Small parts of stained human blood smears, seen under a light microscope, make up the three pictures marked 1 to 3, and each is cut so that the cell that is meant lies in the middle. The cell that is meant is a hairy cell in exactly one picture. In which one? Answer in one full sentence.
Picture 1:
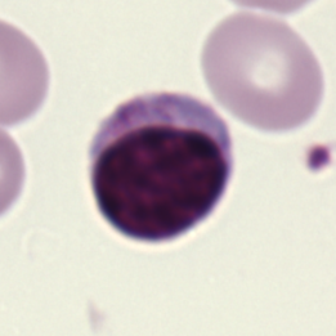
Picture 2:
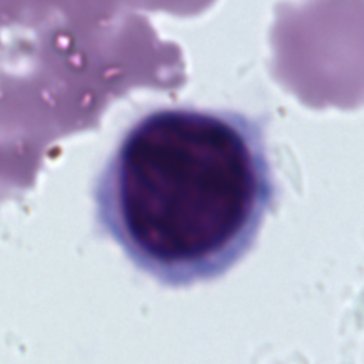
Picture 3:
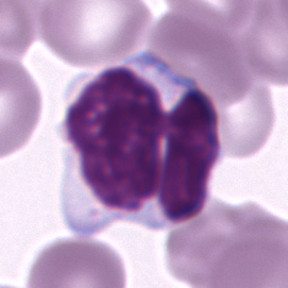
Picture 2 is the one that shows the hairy cell.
